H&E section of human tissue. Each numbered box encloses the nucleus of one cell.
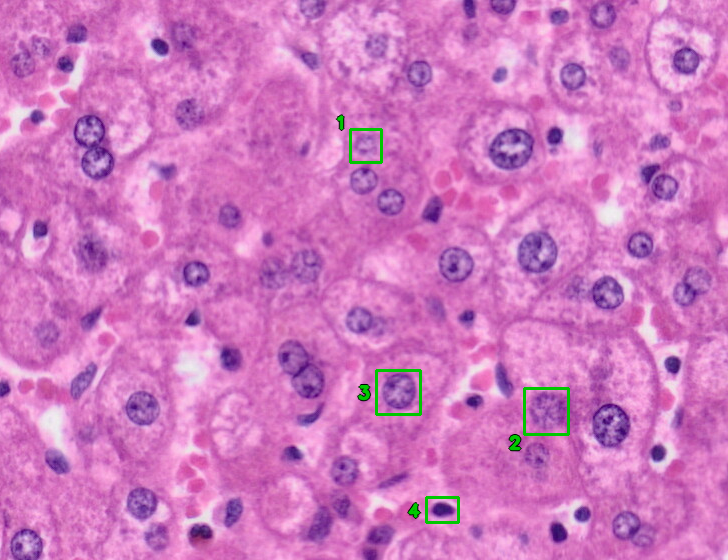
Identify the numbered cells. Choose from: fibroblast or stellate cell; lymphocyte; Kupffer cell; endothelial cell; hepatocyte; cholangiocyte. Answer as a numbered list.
1. hepatocyte
2. hepatocyte
3. hepatocyte
4. lymphocyte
